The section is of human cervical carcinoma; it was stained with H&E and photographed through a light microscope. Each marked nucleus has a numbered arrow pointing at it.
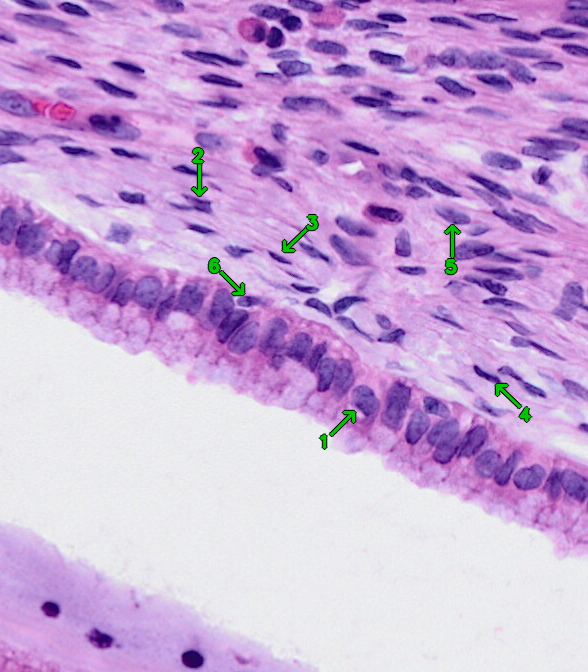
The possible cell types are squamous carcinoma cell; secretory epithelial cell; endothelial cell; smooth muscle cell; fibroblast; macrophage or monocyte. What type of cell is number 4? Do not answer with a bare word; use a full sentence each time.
The cell pointed out by number 4 is a fibroblast.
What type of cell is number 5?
At number 5, the marked cell is a fibroblast.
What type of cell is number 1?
The cell identified by number 1 is a secretory epithelial cell.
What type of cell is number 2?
The cell that is numbered 2 is a fibroblast.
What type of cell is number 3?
The label 3 in this section denotes a fibroblast.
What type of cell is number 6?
The cell that is numbered 6 is a secretory epithelial cell.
